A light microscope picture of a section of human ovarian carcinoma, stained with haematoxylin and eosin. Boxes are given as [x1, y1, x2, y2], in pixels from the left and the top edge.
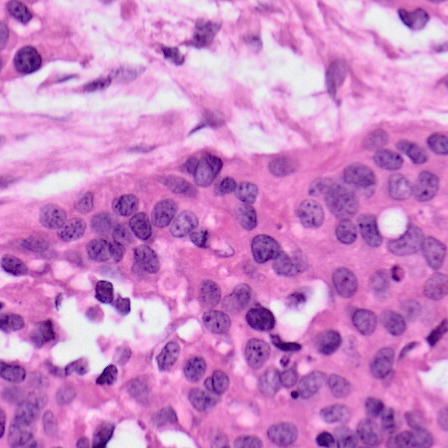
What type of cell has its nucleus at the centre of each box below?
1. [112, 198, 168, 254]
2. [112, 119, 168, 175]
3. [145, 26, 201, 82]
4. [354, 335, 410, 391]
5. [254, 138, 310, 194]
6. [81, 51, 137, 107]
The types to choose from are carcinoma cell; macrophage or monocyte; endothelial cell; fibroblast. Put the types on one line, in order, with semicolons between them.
carcinoma cell; fibroblast; fibroblast; carcinoma cell; carcinoma cell; fibroblast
